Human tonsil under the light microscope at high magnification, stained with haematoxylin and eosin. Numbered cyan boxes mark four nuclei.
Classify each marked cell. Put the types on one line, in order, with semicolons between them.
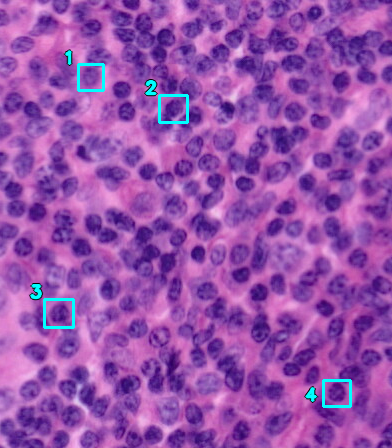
plasma cell; small lymphocyte; plasma cell; plasma cell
